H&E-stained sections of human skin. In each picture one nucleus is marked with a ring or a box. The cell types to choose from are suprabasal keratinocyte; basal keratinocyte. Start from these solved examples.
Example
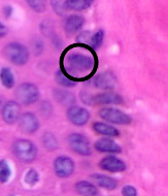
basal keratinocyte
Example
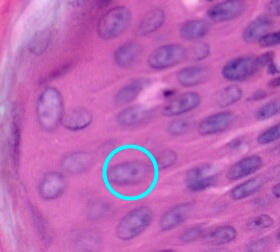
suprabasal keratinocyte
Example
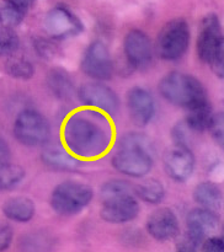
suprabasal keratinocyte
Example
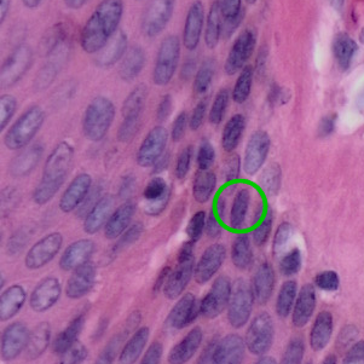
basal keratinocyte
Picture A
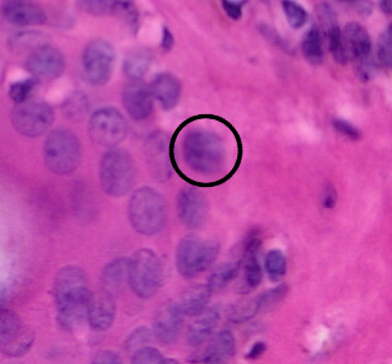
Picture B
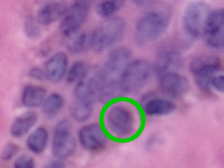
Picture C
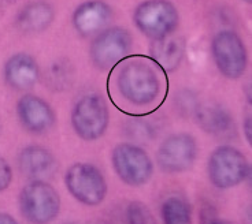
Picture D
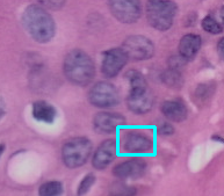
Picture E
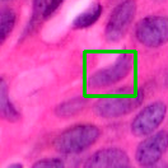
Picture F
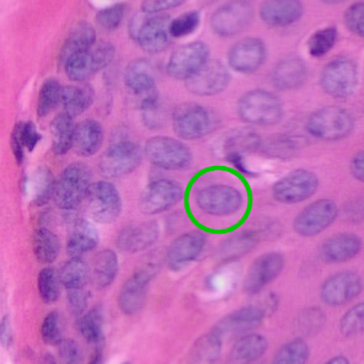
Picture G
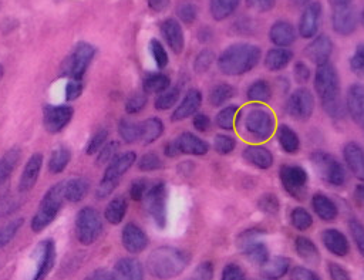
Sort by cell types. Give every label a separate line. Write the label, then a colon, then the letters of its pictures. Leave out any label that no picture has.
suprabasal keratinocyte: C, F
basal keratinocyte: A, B, D, E, G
